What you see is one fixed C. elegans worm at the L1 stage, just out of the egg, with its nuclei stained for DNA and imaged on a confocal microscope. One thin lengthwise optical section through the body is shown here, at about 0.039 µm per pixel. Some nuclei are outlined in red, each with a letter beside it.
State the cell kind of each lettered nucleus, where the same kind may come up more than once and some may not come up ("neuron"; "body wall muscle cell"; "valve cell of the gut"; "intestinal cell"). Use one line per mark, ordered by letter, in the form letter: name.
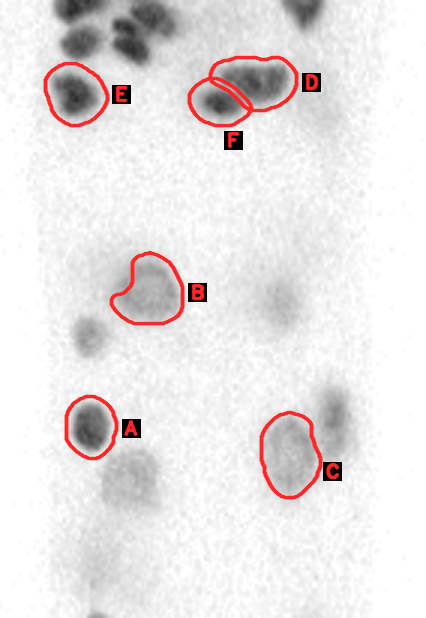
A: neuron
B: intestinal cell
C: intestinal cell
D: valve cell of the gut
E: neuron
F: valve cell of the gut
